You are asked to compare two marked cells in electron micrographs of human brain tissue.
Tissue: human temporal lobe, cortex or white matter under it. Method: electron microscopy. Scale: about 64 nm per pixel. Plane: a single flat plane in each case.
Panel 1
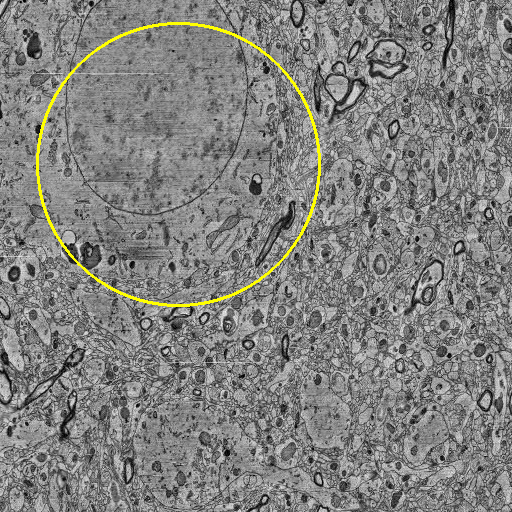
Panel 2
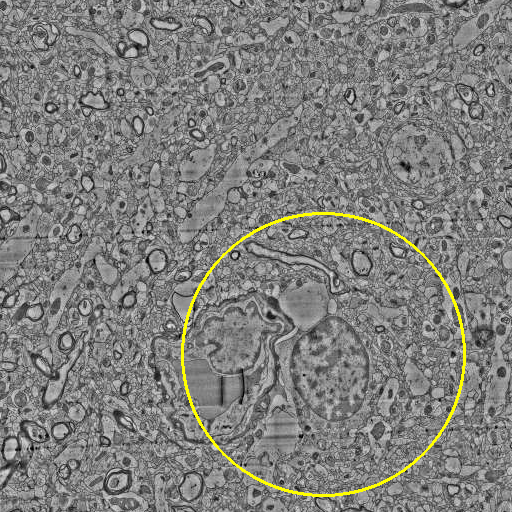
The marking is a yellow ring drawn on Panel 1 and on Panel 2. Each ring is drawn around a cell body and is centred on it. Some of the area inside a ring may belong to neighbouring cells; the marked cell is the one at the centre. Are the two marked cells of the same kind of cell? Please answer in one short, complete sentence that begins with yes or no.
No, the two marked cells are of two kinds.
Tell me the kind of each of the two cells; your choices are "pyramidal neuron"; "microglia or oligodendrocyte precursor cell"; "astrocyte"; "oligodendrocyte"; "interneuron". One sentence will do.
The ringed cell is a pyramidal neuron in the first picture and an oligodendrocyte in the second picture.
